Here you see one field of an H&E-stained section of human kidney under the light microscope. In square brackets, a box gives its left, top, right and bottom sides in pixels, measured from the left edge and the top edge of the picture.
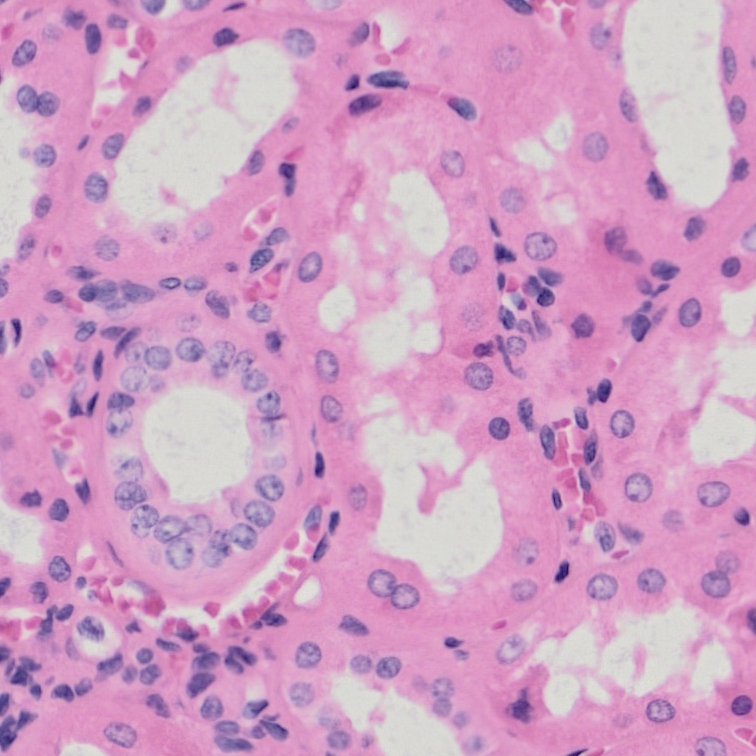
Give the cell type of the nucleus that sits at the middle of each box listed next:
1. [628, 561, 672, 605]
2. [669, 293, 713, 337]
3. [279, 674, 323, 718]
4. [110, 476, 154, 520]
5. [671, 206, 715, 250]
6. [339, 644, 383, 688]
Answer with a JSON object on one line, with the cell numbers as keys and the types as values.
{"1": "proximal tubule cell", "2": "proximal tubule cell", "3": "collecting duct cell", "4": "collecting duct cell", "5": "loop of Henle or distal tubule cell", "6": "collecting duct cell"}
